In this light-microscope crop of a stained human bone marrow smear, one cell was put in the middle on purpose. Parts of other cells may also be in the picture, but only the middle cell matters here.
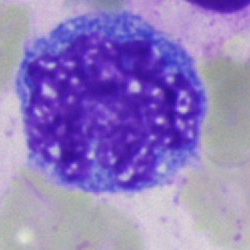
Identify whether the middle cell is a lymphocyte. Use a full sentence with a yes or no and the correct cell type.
No, the cell found centrally in the crop is a monocyte, not a lymphocyte.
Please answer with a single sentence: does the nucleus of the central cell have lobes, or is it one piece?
If you check the nucleus, you will find one compact mass, round, oval or kidney-shaped.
